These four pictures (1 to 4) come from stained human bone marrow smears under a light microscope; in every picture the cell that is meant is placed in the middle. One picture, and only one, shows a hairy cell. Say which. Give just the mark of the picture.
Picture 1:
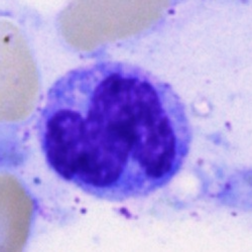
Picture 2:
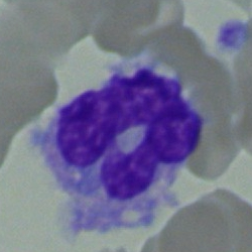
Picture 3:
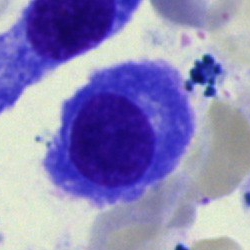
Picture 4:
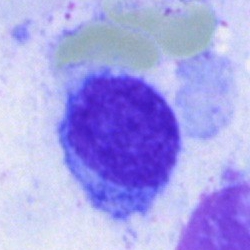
4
